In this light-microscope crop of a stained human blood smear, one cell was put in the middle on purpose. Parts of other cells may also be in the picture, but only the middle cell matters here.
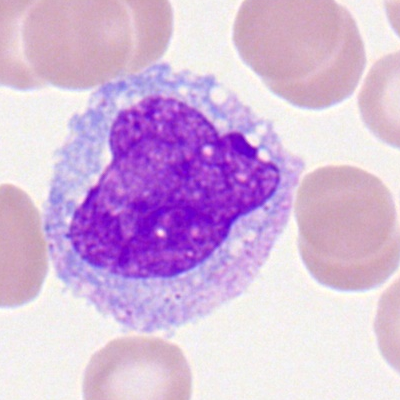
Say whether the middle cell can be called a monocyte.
yes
